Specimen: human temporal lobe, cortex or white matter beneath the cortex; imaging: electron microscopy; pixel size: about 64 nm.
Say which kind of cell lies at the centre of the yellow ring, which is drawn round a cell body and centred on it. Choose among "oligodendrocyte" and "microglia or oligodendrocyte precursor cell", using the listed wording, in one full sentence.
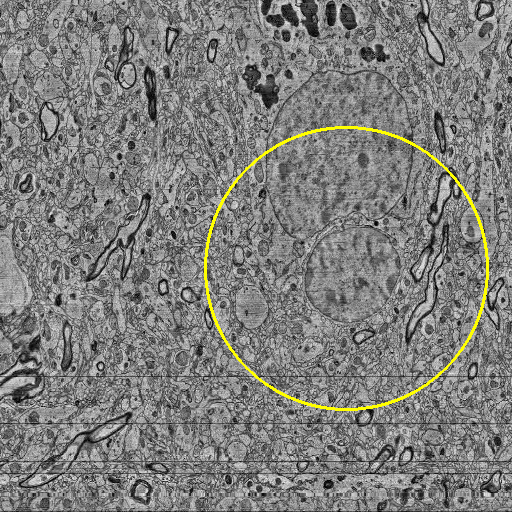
Going by the list, the cell at the yellow ring's centre is an oligodendrocyte.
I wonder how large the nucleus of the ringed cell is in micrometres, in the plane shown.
Roughly 6 micrometers across, in this plane.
